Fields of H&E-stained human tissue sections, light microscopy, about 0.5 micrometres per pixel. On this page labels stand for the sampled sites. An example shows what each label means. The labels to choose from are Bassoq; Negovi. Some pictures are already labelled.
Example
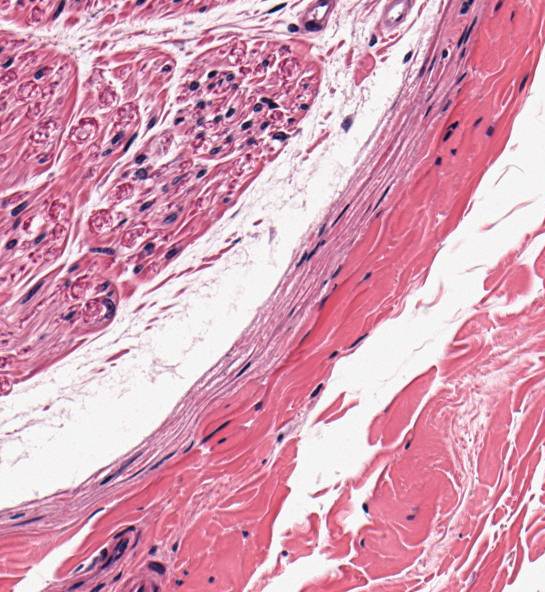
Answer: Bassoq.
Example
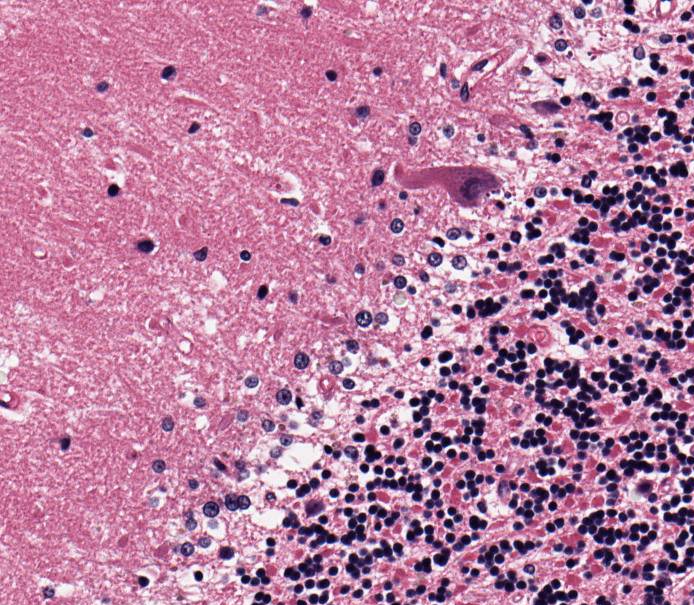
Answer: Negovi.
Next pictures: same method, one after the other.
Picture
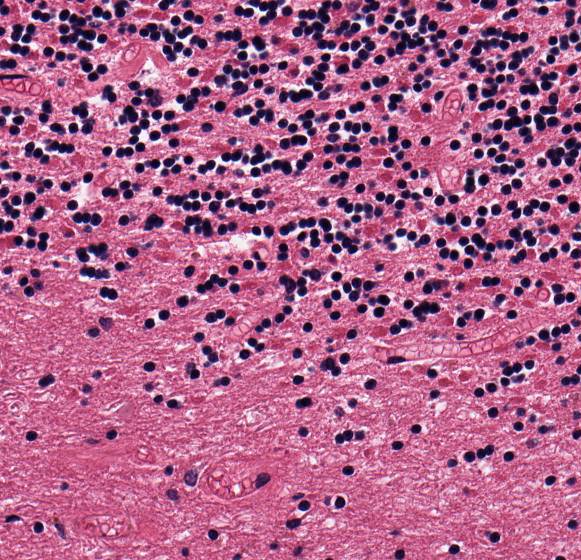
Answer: Negovi.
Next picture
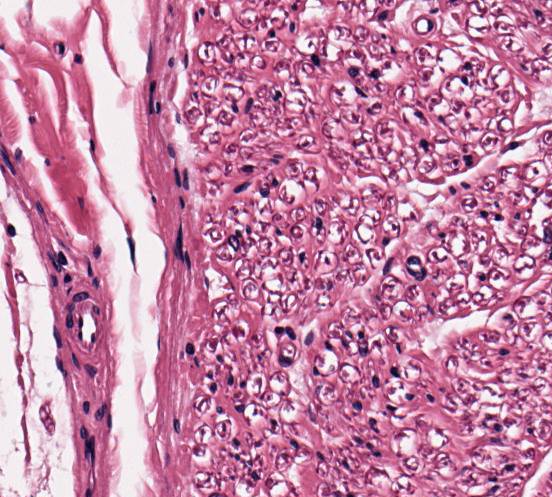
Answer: Bassoq.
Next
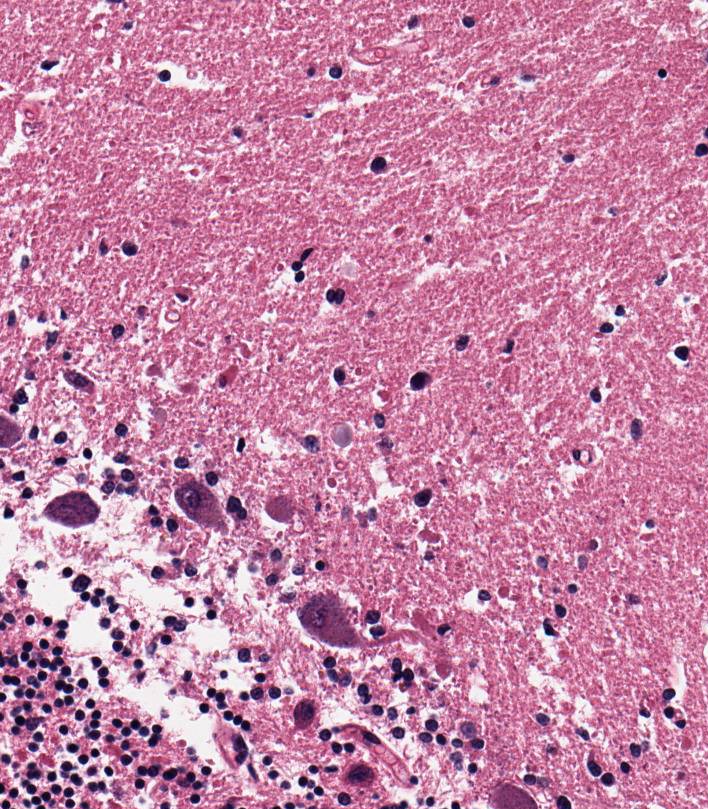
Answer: Negovi.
